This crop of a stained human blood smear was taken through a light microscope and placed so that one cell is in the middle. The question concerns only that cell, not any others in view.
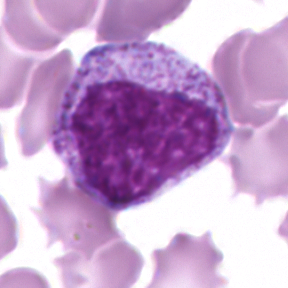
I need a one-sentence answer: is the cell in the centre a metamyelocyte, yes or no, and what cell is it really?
No, instead of a metamyelocyte, the middle cell is a myelocyte.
